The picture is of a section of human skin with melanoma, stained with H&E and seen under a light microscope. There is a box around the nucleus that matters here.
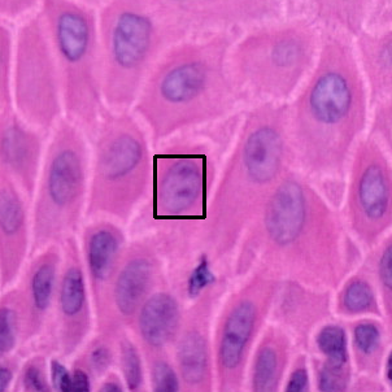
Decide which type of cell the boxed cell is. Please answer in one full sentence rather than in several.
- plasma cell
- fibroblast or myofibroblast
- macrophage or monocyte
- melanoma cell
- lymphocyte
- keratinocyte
It is as a keratinocyte that the boxed cell is classified.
